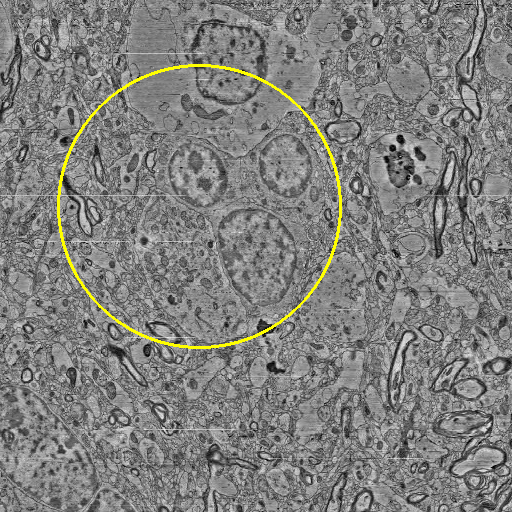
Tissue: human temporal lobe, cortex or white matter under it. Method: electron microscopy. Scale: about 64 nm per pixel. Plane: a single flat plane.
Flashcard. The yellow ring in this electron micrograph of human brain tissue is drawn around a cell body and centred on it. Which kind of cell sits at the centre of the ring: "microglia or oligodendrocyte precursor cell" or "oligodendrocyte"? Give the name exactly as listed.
oligodendrocyte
